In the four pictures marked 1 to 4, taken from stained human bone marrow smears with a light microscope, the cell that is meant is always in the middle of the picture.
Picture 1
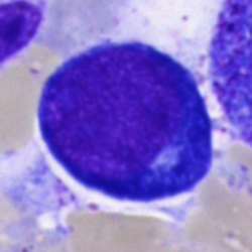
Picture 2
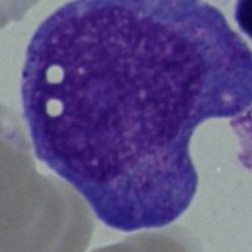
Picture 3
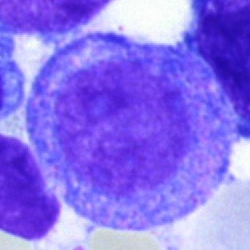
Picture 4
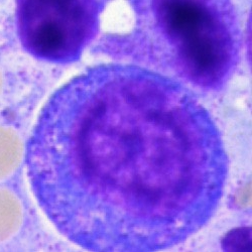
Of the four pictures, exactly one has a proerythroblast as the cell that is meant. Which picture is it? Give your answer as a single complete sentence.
It is picture 1 that shows the proerythroblast.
